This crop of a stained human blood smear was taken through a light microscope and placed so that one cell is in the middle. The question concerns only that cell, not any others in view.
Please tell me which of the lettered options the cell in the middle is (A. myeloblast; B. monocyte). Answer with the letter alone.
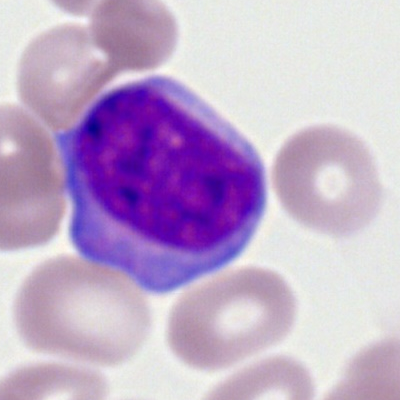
A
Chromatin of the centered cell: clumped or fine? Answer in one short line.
This nucleus has coarsely clumped chromatin.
